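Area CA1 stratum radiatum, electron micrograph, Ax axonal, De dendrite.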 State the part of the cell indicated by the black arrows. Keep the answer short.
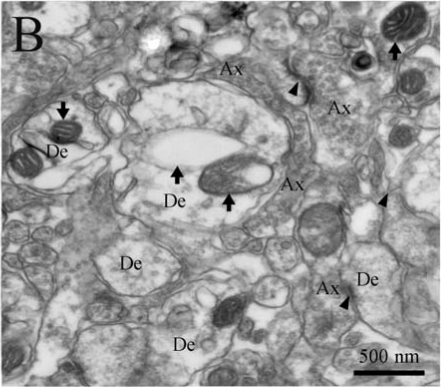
Aberrant mitochondria.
